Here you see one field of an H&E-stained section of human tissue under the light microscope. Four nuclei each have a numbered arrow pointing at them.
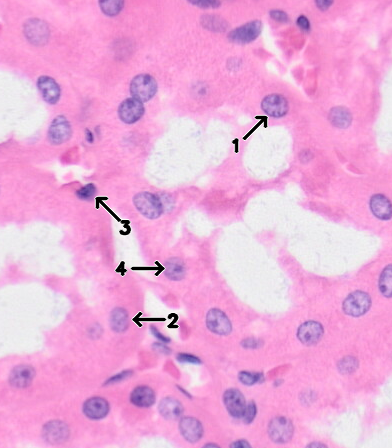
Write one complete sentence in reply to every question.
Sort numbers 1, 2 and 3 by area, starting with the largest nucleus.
By area, largest first, they run 1, 2, 3.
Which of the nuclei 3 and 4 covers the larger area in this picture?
It is nucleus 4, which covers about 2 times the area of nucleus 3.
